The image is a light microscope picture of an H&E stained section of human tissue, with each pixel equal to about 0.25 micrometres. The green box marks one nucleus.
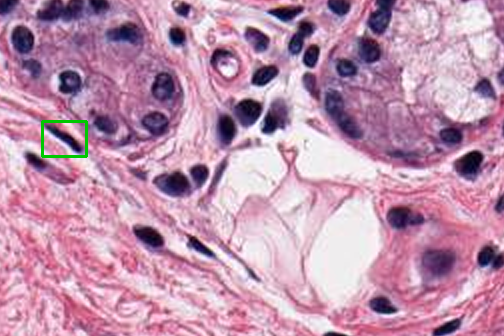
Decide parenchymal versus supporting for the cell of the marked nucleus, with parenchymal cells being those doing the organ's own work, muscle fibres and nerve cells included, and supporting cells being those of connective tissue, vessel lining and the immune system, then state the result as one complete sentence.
Attributed to a supporting cell is the marked nucleus.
